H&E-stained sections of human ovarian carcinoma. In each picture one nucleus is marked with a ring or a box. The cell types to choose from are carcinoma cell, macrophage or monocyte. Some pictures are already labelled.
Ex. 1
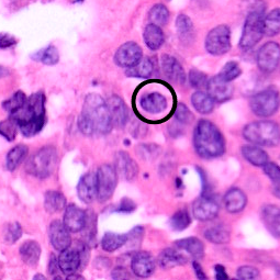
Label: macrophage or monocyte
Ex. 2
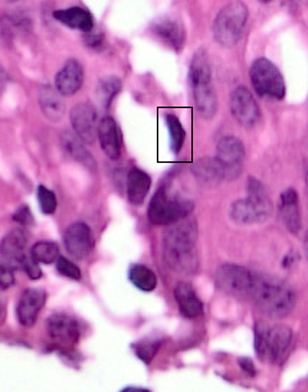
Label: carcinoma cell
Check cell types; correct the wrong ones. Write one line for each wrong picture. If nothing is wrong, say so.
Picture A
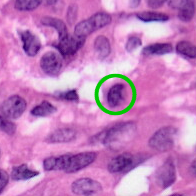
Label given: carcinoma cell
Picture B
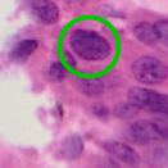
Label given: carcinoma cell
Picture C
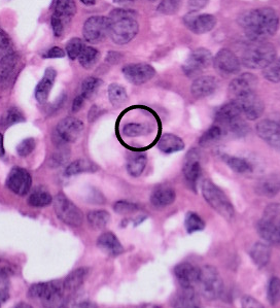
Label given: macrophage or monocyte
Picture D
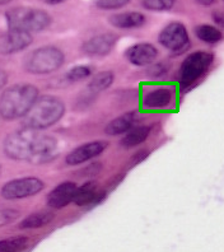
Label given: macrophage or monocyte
A: change carcinoma cell to macrophage or monocyte
D: change macrophage or monocyte to carcinoma cell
